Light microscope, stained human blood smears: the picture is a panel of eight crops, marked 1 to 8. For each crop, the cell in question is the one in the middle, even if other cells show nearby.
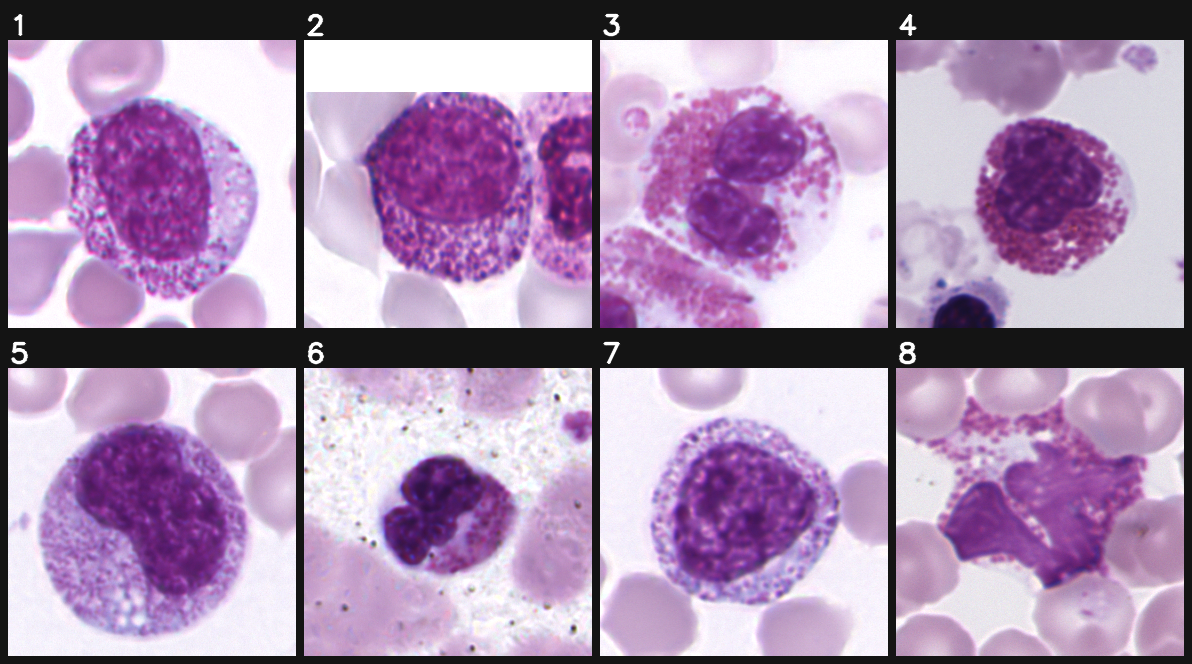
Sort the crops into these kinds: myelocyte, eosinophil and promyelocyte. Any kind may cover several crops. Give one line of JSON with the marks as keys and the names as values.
{"1": "myelocyte", "2": "myelocyte", "3": "eosinophil", "4": "eosinophil", "5": "myelocyte", "6": "eosinophil", "7": "myelocyte", "8": "eosinophil"}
